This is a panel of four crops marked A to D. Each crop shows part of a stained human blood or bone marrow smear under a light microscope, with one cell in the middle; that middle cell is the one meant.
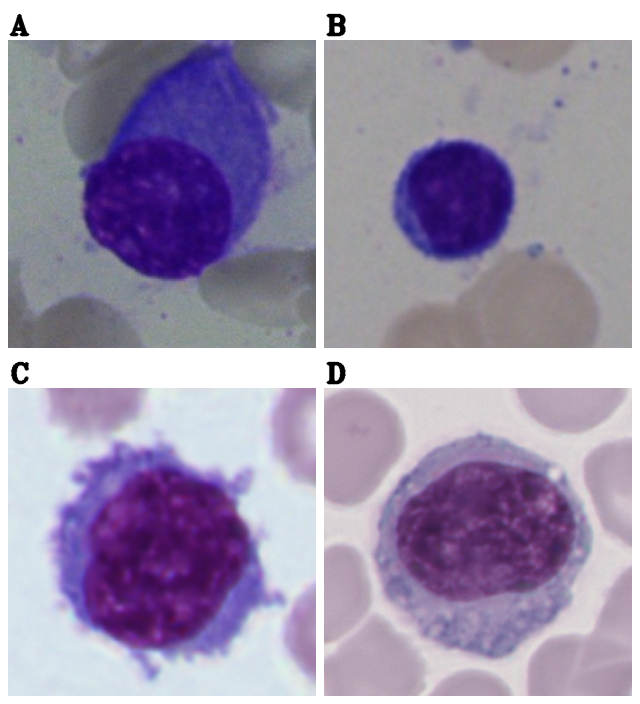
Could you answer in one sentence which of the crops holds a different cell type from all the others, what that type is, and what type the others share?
Crop B breaks the pattern with a lymphocyte; all the others show plasma cells.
